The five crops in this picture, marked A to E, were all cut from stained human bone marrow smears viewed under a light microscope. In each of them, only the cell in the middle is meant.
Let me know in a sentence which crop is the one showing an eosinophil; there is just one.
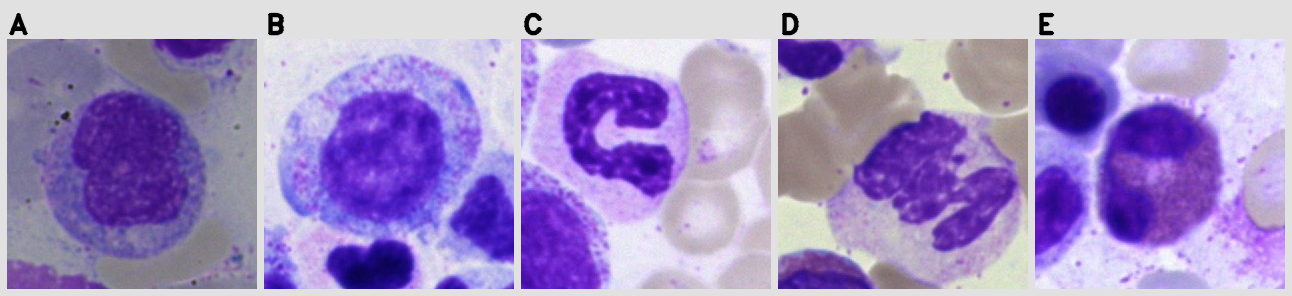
On review of the set, crop E is the one showing an eosinophil.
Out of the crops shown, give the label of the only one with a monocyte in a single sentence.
Look at crop A; that is the one with a monocyte in its center.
